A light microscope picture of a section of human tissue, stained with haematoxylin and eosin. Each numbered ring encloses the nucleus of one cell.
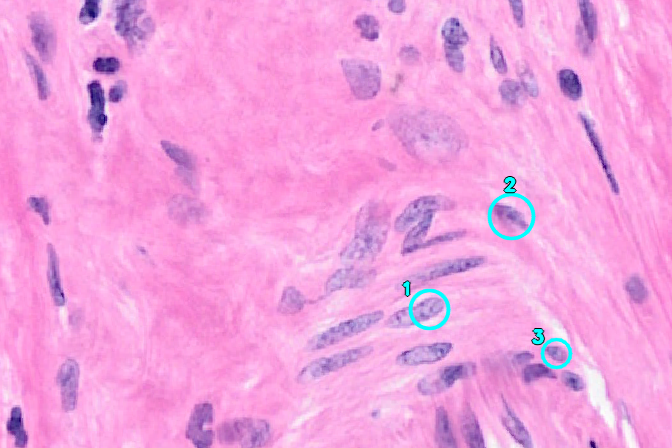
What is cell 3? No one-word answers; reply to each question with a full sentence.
The label 3 in this section denotes an endothelial cell.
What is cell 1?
The cell indicated with the number 1 is classed as an endothelial cell.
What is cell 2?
Marked with the number 2, this cell is a fibroblast.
